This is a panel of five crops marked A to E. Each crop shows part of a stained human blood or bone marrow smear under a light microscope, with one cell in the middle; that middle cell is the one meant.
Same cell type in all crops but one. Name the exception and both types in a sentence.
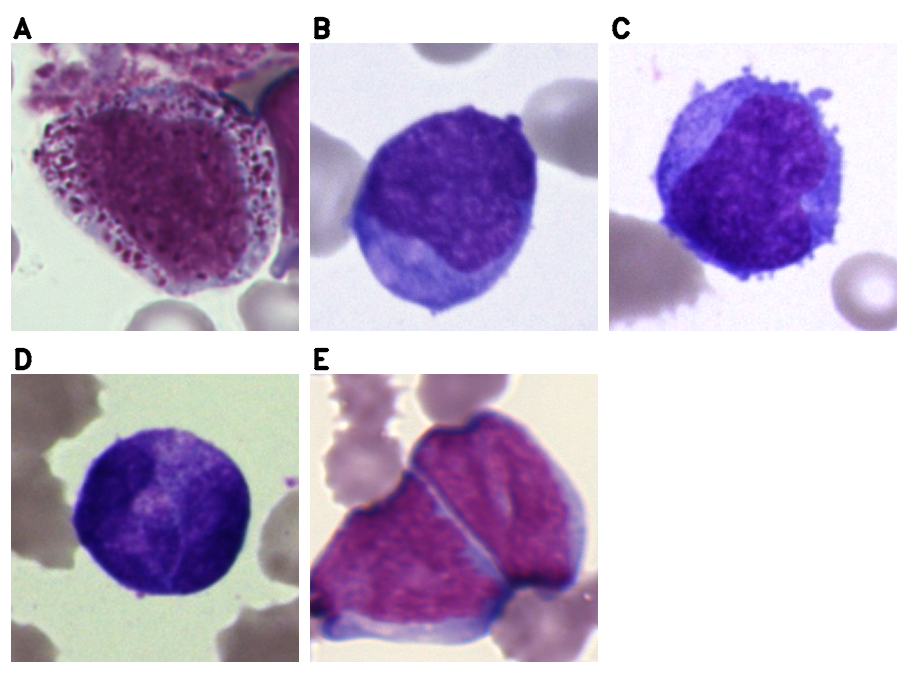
Only crop A differs, being a promyelocyte, while the others all show blasts.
